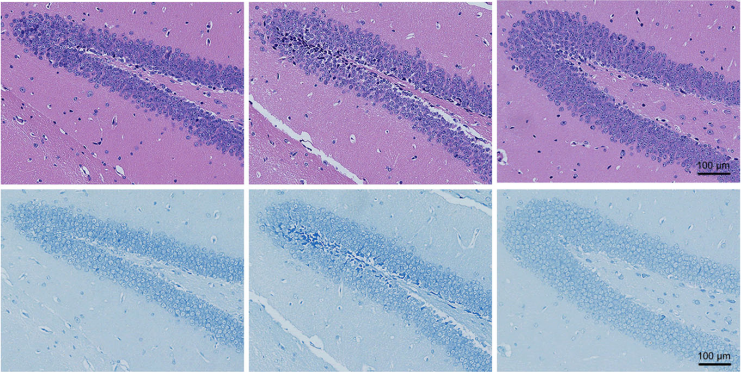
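These are sections of the hippocampal dentate gyrus showing its granule cell layer, a thick curved band of densely packed small, round neuronal cell bodies. In the upper row, stained pink and purple, the nuclei stain purple within a pale pink neuropil. In the lower row, stained blue, cell bodies are light blue against a paler background. On either side of the band lies sparsely cellular neuropil with scattered small nuclei and thin vessels. In the middle pair of images the band is disordered: many cells along its inner part are shrunken and darkly stained, with irregular spaces between them, and a tissue cleft runs beside the layer. The outer two columns show a regular, evenly packed band.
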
